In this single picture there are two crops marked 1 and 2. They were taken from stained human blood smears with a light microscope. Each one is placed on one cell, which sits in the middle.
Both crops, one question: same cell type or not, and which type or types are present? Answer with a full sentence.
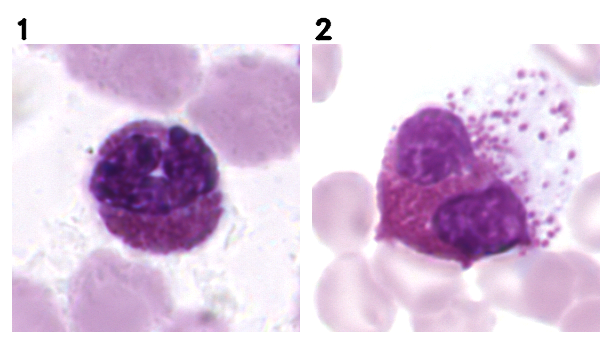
Yes, what both crops show at their centres are eosinophils.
